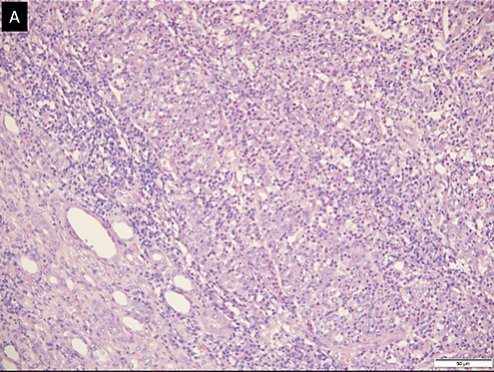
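This lower-power view shows a tumor made of sheets of crowded atypical cells with pink cytoplasm. Toward the left edge a band of small, dark-staining cells runs along the tumor, and beyond it lie several empty rounded spaces in looser tissue. Within the tumor the cells are disorganized and vary in size and shape.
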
